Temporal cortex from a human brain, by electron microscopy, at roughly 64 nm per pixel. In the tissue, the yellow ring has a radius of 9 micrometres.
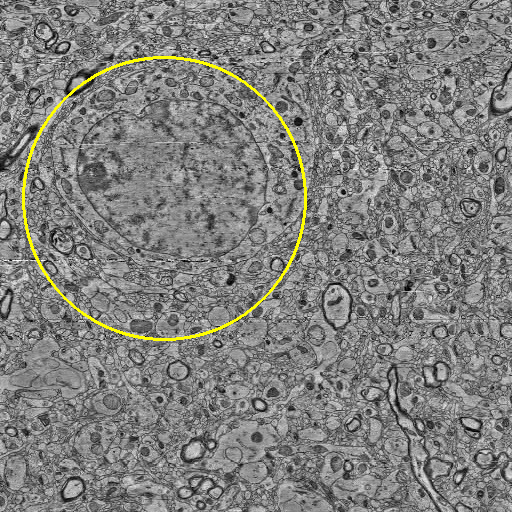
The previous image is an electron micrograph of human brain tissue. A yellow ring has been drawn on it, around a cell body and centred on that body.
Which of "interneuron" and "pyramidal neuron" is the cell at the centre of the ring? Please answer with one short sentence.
The cell body at the centre of the ring belongs to a pyramidal neuron.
